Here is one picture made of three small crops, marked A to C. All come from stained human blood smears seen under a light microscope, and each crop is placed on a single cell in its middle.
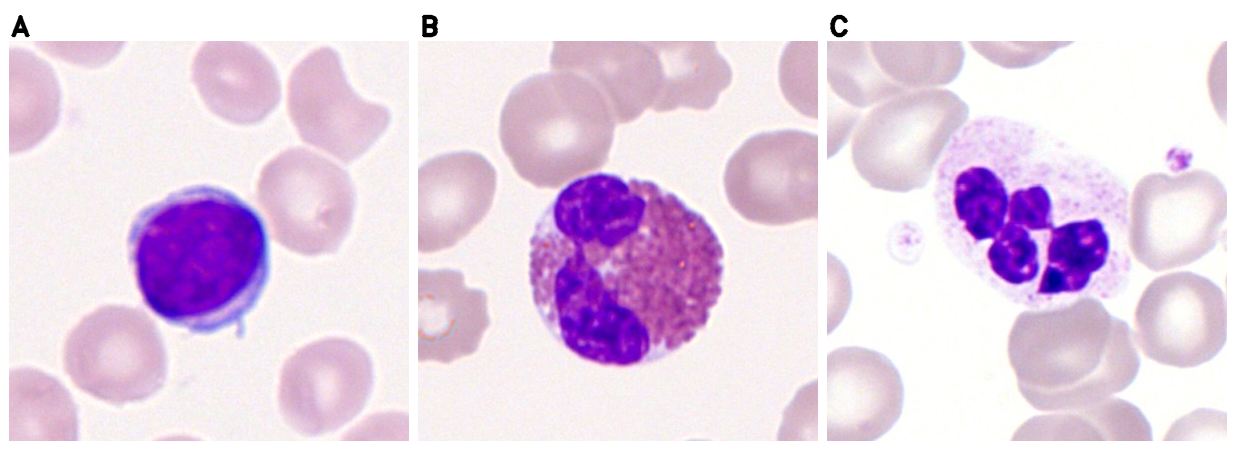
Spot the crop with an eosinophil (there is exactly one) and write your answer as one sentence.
In this series, an eosinophil is shown by crop B.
